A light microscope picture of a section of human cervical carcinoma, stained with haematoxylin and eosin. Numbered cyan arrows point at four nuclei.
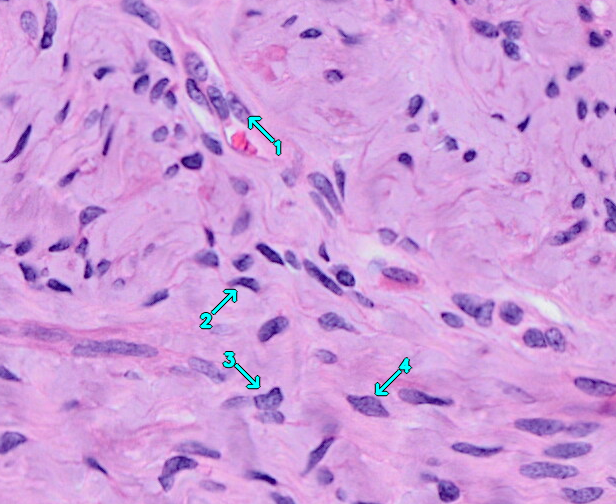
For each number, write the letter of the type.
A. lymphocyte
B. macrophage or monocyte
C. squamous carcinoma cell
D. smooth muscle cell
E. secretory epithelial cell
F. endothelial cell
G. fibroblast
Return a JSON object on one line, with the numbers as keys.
{"1": "F", "2": "G", "3": "G", "4": "G"}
